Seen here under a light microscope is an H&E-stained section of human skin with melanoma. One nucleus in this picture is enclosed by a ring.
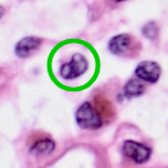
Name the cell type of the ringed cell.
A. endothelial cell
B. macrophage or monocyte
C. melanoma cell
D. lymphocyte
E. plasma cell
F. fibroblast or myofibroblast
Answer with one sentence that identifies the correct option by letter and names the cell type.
Option D holds, since the ringed cell is a lymphocyte.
